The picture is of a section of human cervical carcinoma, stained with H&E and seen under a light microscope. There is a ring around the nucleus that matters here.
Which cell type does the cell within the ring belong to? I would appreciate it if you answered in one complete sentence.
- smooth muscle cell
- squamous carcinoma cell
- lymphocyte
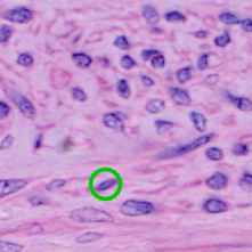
As far as its identity is concerned, the cell within the ring is a smooth muscle cell.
